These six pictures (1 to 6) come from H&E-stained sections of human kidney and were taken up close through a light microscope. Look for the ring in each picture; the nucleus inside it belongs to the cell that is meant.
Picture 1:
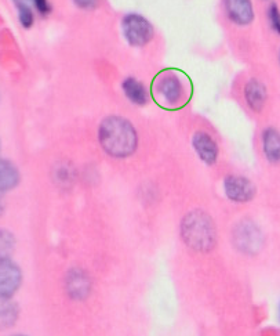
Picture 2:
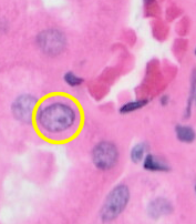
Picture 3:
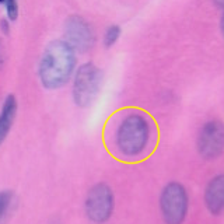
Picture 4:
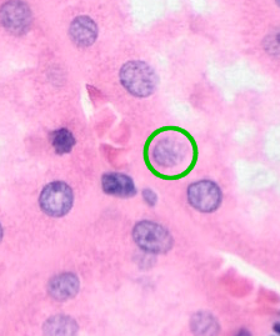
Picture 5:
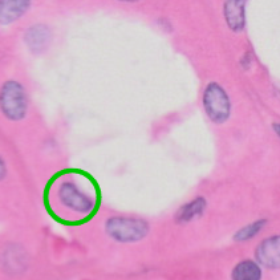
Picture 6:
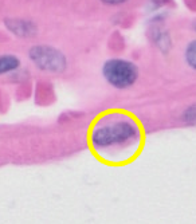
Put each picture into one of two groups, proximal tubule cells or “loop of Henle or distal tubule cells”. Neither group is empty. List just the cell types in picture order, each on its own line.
loop of Henle or distal tubule cell
proximal tubule cell
proximal tubule cell
proximal tubule cell
loop of Henle or distal tubule cell
loop of Henle or distal tubule cell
